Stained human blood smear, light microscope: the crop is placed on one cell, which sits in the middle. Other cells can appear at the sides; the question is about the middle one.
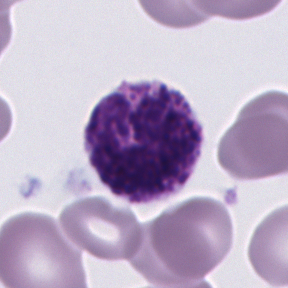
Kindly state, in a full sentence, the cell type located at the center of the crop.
Standing at the centre of this crop is a basophil.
